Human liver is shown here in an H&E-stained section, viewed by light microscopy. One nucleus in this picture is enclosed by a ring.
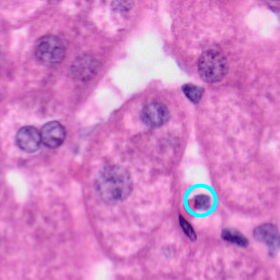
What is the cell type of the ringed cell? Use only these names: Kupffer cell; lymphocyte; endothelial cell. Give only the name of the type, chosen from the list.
lymphocyte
